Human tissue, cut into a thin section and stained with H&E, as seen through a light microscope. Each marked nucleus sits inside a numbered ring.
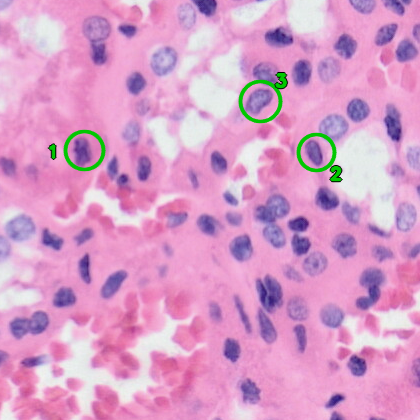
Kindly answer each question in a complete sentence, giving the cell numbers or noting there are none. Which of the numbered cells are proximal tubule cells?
Just one of the numbered cells is a proximal tubule cell, namely number 1.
